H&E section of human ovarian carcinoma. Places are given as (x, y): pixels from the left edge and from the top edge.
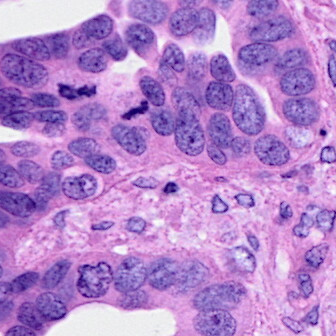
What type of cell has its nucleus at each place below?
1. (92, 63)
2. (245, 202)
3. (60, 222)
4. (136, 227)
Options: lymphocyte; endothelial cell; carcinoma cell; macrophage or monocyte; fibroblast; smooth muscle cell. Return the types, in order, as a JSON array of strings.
["carcinoma cell", "fibroblast", "fibroblast", "fibroblast"]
